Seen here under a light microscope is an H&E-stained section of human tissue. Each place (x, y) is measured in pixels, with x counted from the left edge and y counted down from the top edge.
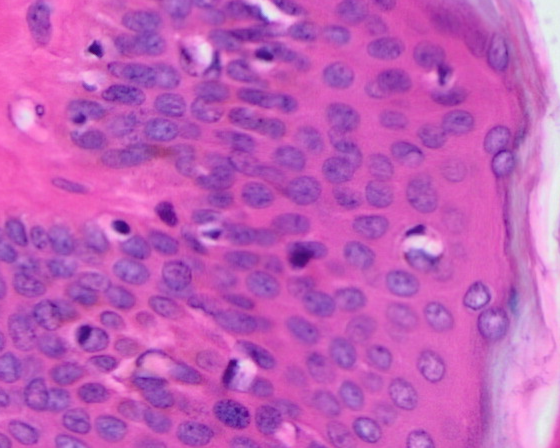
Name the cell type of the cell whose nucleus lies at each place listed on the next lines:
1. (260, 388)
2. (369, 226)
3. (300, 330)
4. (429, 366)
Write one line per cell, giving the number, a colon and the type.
1: basal keratinocyte
2: suprabasal keratinocyte
3: suprabasal keratinocyte
4: suprabasal keratinocyte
